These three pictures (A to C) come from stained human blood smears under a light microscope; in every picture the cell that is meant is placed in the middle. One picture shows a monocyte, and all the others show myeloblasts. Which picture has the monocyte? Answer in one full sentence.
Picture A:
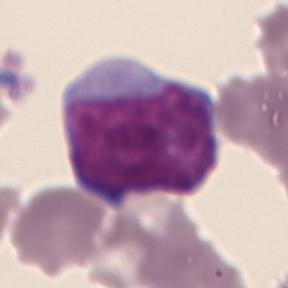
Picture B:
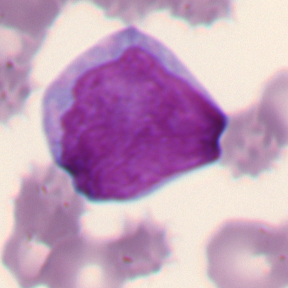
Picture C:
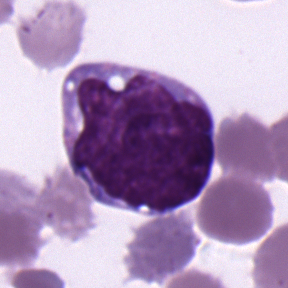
Picture C is the one that shows the monocyte.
